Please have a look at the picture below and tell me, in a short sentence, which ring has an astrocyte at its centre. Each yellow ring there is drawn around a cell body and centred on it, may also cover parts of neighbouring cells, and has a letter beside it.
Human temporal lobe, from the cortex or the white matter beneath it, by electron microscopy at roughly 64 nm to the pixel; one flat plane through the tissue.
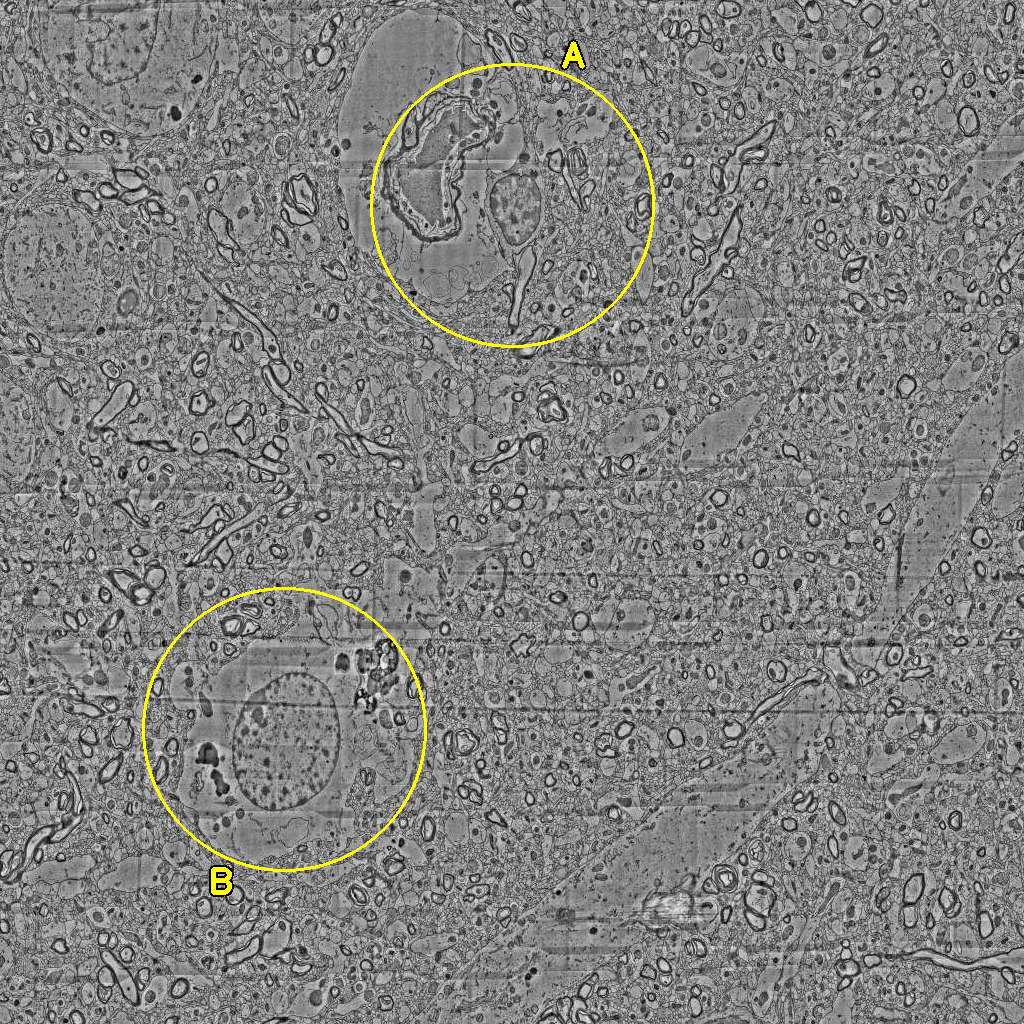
Ring B is centred on it.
